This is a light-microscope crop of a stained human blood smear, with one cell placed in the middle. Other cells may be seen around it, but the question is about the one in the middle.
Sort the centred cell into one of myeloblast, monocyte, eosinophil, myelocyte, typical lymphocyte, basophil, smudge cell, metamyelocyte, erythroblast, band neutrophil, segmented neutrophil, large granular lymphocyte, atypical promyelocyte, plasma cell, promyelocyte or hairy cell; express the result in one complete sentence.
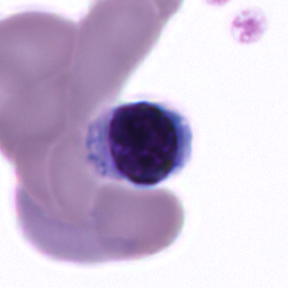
In short, the cell at the center is a plasma cell.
